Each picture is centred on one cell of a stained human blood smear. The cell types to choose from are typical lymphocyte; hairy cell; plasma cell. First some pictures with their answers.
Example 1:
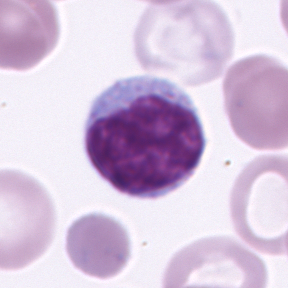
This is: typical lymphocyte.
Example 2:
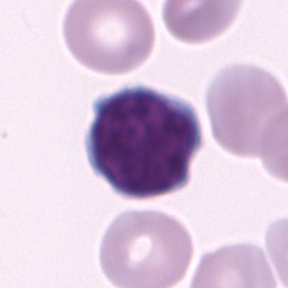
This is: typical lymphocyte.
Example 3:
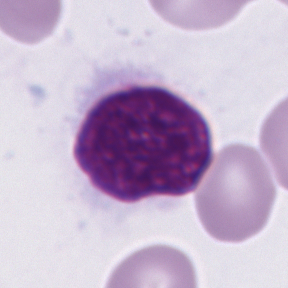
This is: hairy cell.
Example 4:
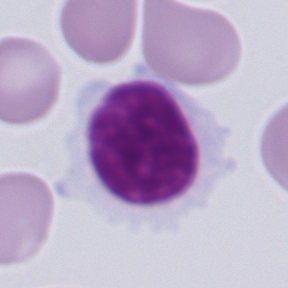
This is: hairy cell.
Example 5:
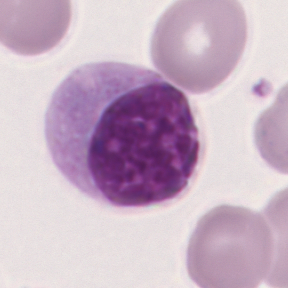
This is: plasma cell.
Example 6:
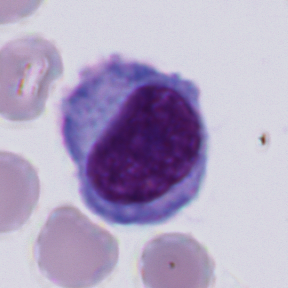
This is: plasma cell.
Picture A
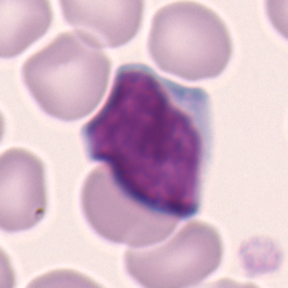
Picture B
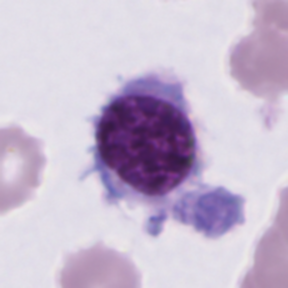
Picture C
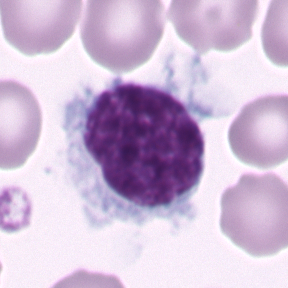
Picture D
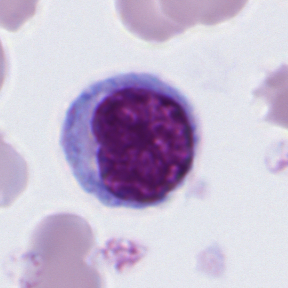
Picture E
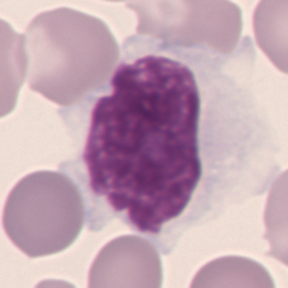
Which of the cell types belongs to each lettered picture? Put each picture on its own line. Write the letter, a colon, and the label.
A: typical lymphocyte.
B: plasma cell.
C: hairy cell.
D: plasma cell.
E: hairy cell.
